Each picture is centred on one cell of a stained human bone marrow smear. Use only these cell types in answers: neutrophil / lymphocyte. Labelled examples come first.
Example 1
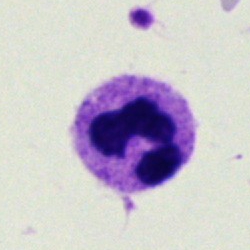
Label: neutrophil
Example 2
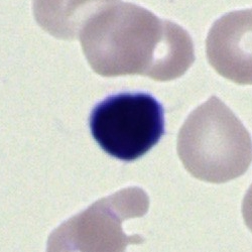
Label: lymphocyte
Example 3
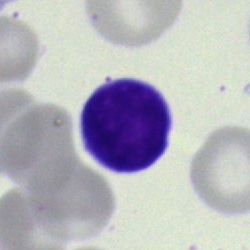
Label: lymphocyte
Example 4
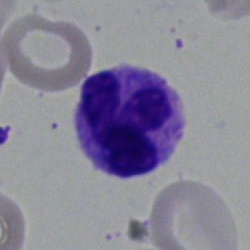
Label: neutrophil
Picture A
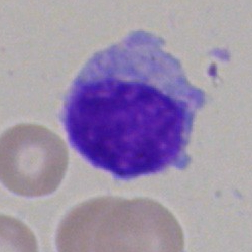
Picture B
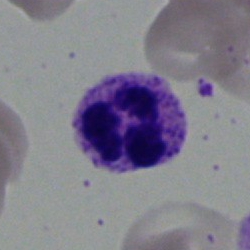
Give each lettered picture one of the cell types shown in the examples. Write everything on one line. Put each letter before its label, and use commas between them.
A lymphocyte, B neutrophil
